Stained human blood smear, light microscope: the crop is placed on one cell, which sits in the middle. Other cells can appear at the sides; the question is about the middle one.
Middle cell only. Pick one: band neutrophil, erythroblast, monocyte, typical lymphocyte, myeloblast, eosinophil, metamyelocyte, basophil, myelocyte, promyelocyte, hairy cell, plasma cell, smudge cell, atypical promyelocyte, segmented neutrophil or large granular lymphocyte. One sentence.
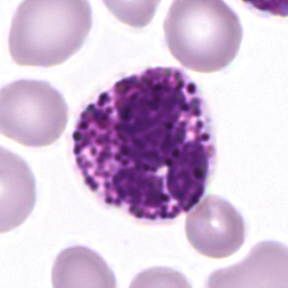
At the crop's centre, the cell is a basophil.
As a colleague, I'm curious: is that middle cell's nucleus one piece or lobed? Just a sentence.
The nucleus is segmented, with two or more lobes present.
